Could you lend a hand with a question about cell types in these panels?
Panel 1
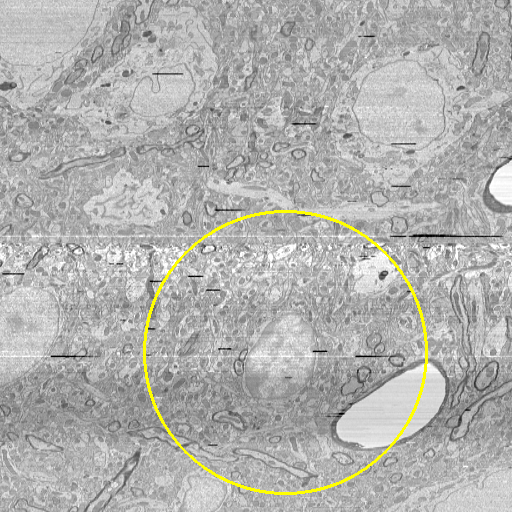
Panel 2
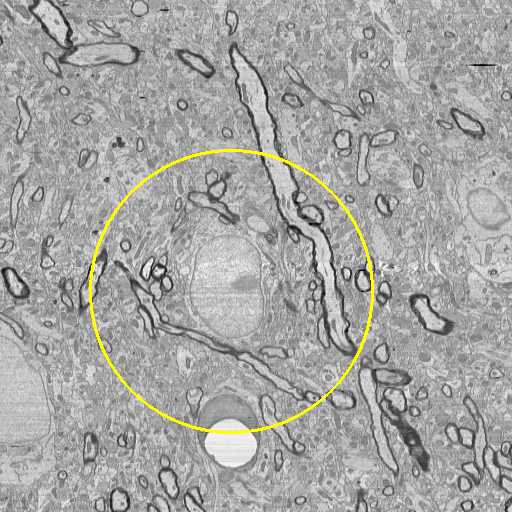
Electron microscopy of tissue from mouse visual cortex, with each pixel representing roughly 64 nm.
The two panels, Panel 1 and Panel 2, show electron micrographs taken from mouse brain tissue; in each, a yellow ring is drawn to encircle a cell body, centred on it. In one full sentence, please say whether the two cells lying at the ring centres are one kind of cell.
No, the cells at the ring centres in the two panels are two kinds of cell.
